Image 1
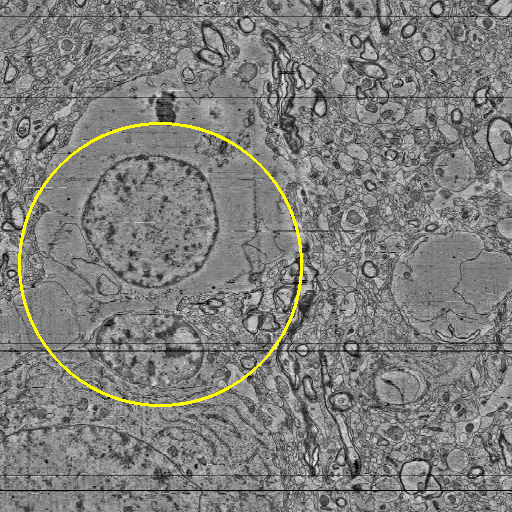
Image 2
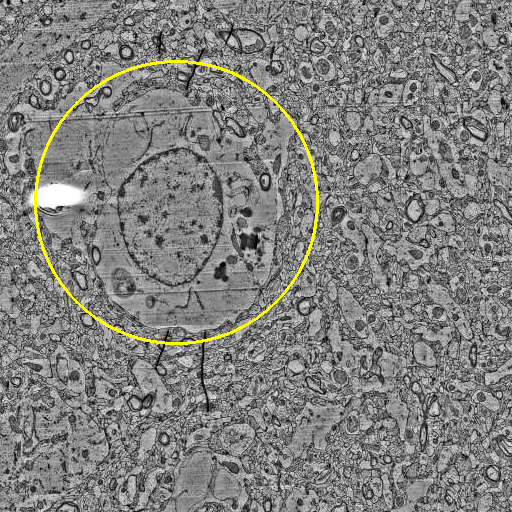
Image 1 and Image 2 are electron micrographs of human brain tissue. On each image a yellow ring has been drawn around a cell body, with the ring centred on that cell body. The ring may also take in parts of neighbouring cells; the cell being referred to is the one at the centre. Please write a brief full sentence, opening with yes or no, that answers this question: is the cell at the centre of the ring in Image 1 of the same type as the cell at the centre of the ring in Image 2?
Yes, both cells are of the same type.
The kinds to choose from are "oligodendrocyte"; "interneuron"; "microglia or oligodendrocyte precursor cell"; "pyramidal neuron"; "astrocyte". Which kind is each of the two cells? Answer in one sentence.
Both rings mark an astrocyte, one in each picture.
